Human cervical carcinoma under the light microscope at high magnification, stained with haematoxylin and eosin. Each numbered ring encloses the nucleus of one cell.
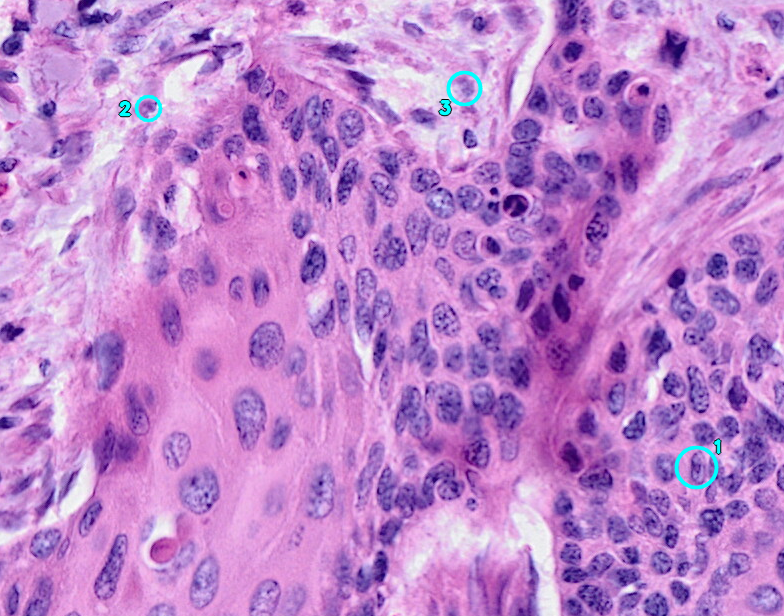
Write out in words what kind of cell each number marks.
Cell 1 is a squamous carcinoma cell, cell 2 is a fibroblast and cell 3 is a fibroblast.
